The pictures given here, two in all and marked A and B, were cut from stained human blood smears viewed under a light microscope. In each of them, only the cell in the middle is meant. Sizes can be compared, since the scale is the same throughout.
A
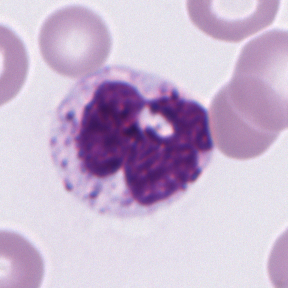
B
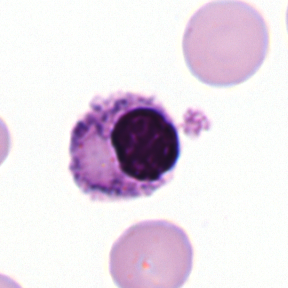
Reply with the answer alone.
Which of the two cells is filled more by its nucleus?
A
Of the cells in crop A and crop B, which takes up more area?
A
